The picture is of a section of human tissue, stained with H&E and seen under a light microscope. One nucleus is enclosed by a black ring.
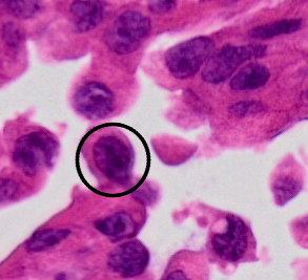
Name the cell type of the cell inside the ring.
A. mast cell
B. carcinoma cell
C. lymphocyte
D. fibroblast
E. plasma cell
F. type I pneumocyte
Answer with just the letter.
B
